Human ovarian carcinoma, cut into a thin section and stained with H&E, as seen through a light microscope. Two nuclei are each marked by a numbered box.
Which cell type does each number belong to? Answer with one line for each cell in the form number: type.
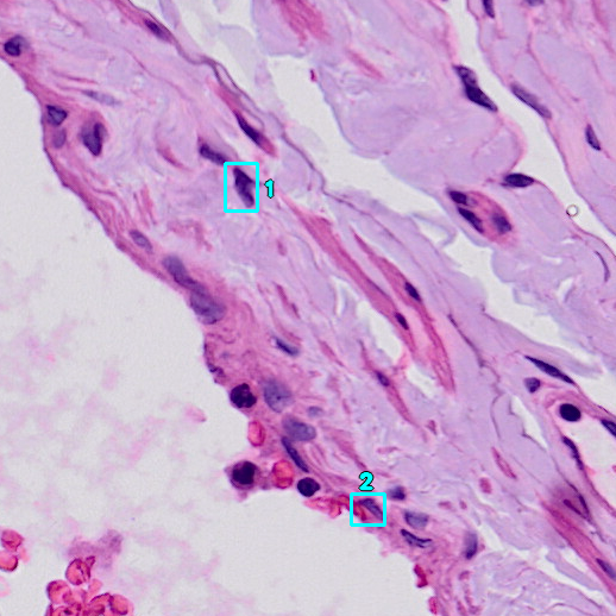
1: fibroblast
2: endothelial cell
